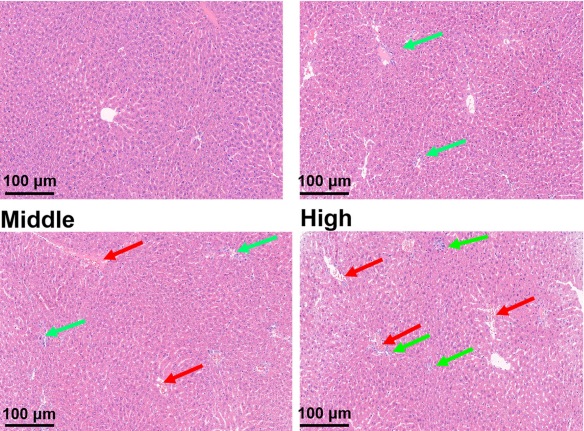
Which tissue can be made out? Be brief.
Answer: Liver.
